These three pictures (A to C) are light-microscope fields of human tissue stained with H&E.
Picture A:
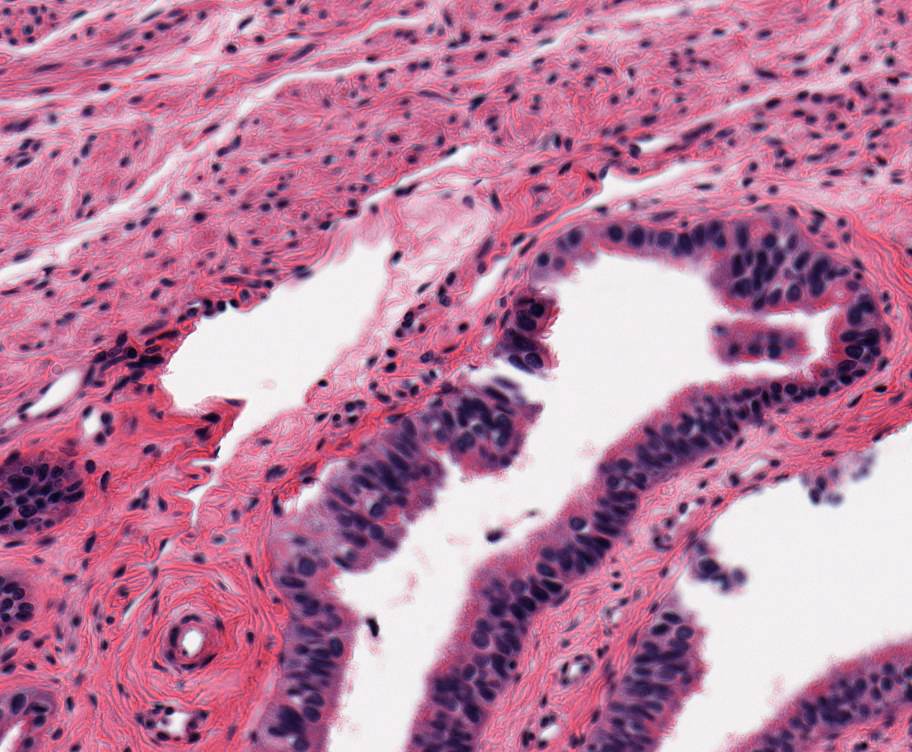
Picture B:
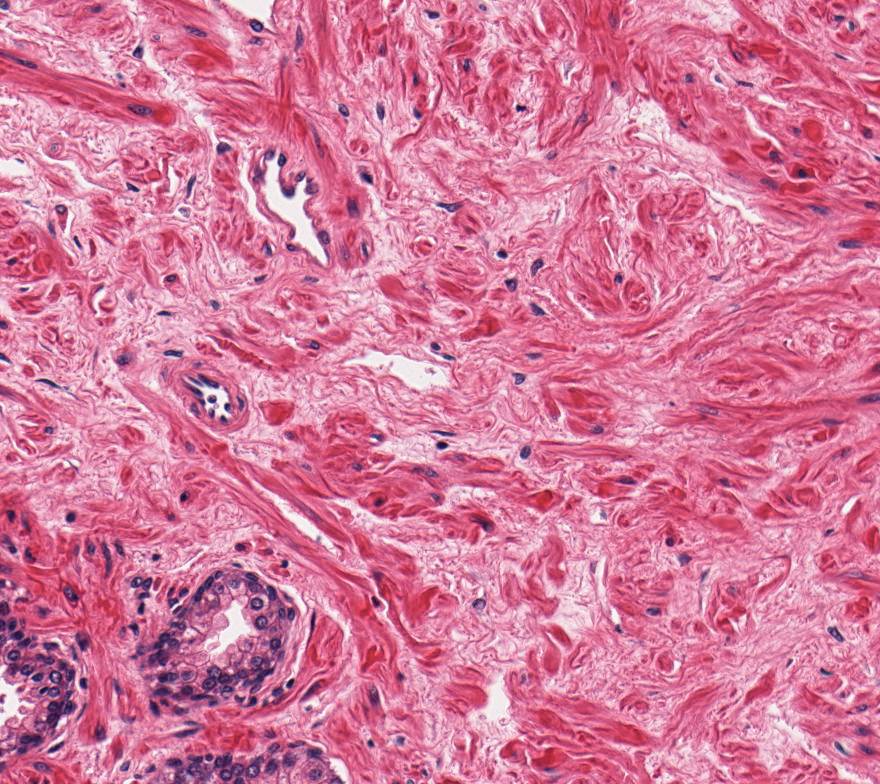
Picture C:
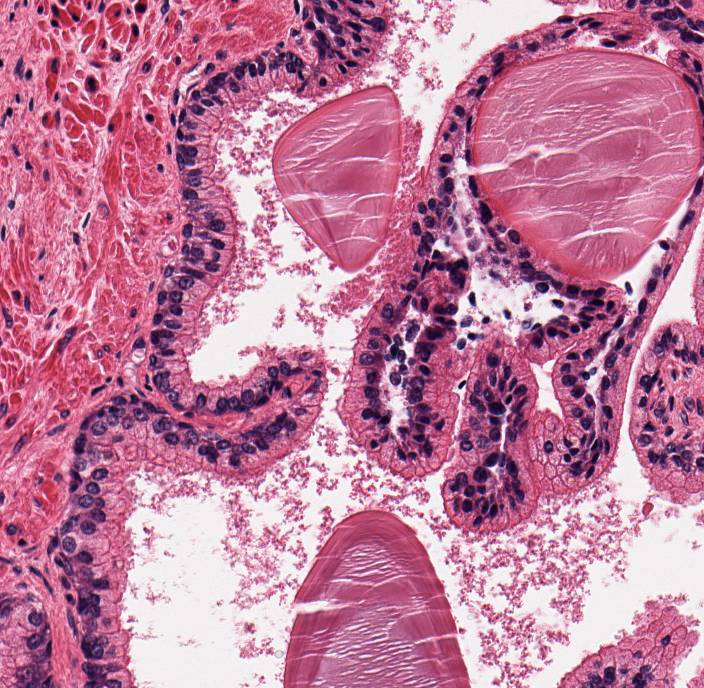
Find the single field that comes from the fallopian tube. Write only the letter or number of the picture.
A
